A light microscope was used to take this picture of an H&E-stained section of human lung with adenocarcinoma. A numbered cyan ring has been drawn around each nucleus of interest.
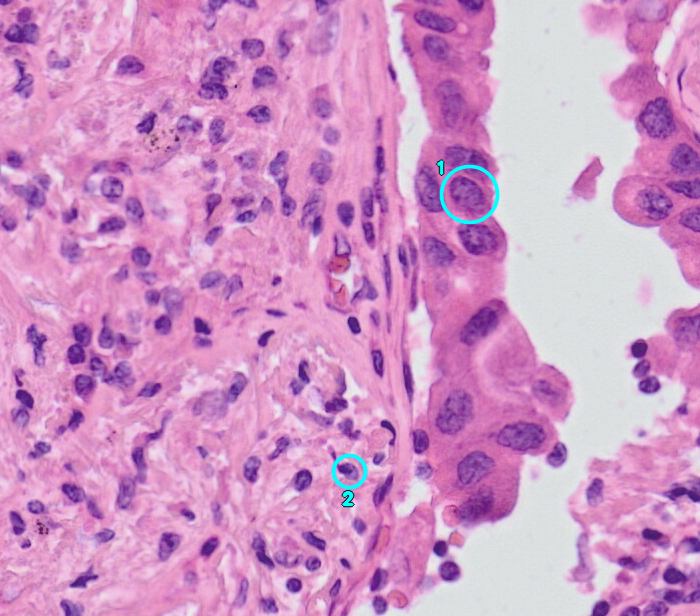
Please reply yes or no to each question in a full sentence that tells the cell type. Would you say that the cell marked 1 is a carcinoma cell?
Yes, within this section, cell number 1 is a carcinoma cell.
